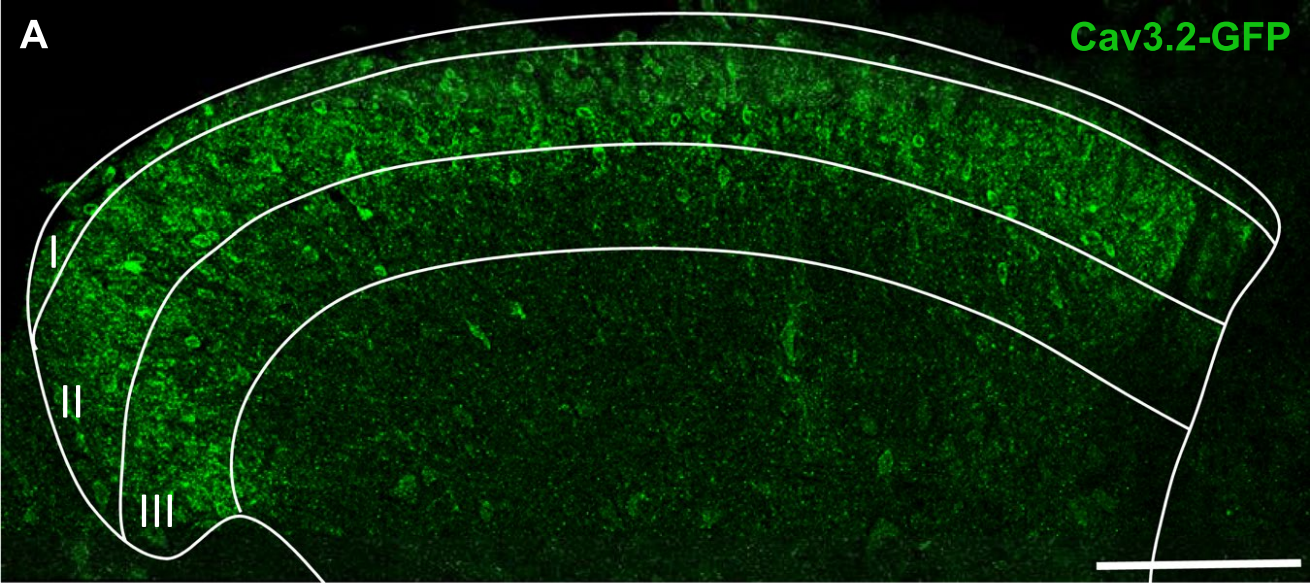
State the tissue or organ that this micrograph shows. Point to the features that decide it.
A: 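Dorsal horn. A curved band of outlined layers caps the upper edge of the tissue. Scattered round cell bodies lie within a finely speckled grey-matter background.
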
